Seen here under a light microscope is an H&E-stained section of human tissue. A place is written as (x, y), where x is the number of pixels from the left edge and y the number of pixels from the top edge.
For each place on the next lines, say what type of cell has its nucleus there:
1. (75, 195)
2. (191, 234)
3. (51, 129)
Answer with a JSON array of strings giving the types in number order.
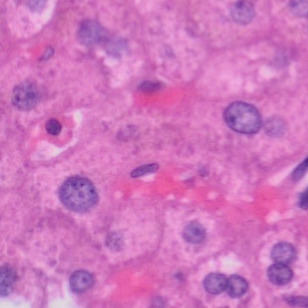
["hepatocyte", "hepatocyte", "lymphocyte"]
